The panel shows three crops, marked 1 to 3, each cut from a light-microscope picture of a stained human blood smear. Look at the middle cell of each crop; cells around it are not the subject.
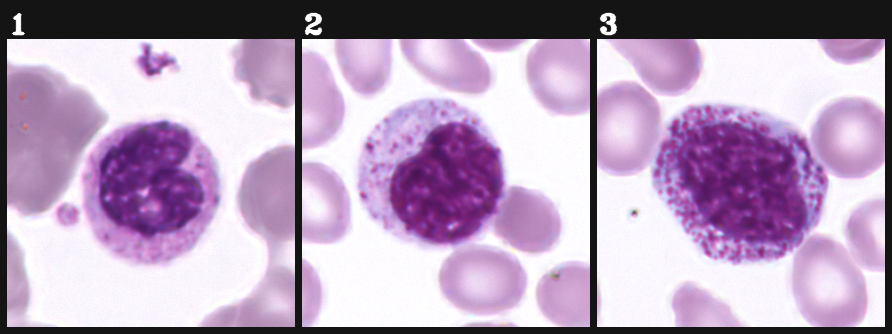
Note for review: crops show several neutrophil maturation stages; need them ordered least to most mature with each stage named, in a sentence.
By stage of maturation, from earliest to latest, the order is crop 3 (a myelocyte), crop 2 (a metamyelocyte) and crop 1 (a band neutrophil).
